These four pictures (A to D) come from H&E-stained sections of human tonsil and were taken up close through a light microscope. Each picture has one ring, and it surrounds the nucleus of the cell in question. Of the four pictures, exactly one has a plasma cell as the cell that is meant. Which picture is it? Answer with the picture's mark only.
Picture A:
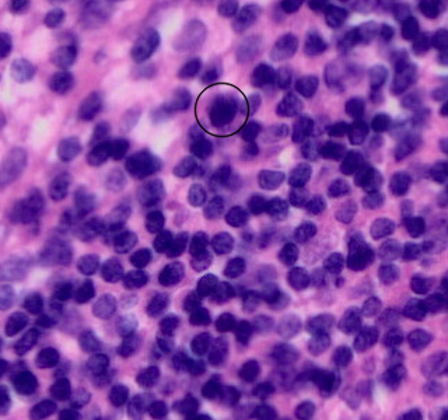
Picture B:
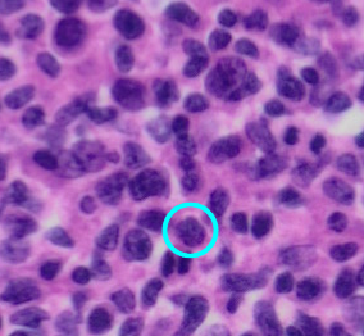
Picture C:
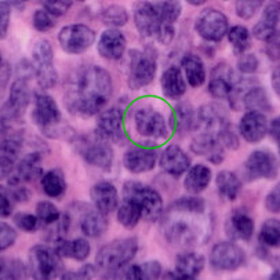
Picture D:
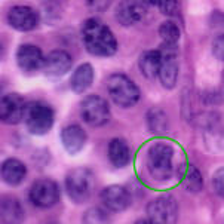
D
